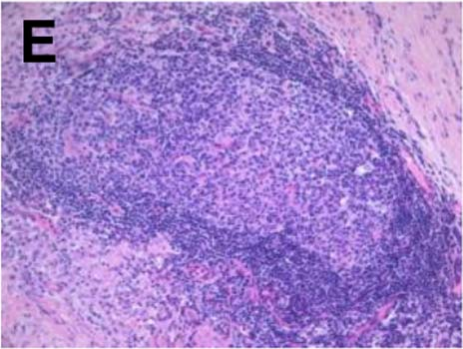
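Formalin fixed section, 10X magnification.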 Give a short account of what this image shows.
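A large, sharply bordered cluster of lymphoid cells sits within pink fibrous tissue. Its edge is a dark-blue rim of densely packed small round cells with scant cytoplasm. The centre is paler, with cells that have somewhat larger, less dense nuclei and more pink cytoplasm, giving a follicle-like zoning.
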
